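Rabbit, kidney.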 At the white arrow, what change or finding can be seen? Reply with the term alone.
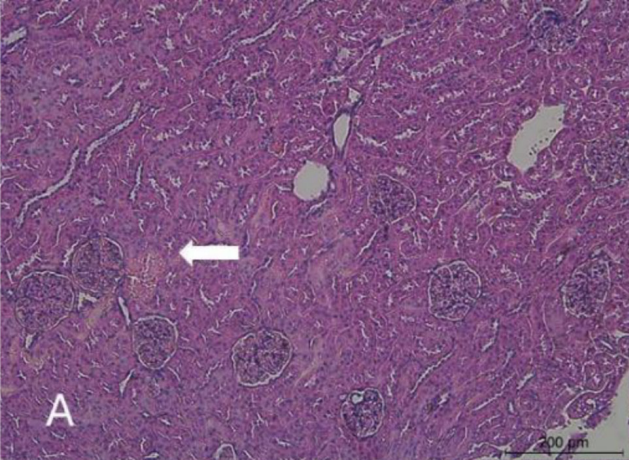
small foci of hemorrhage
